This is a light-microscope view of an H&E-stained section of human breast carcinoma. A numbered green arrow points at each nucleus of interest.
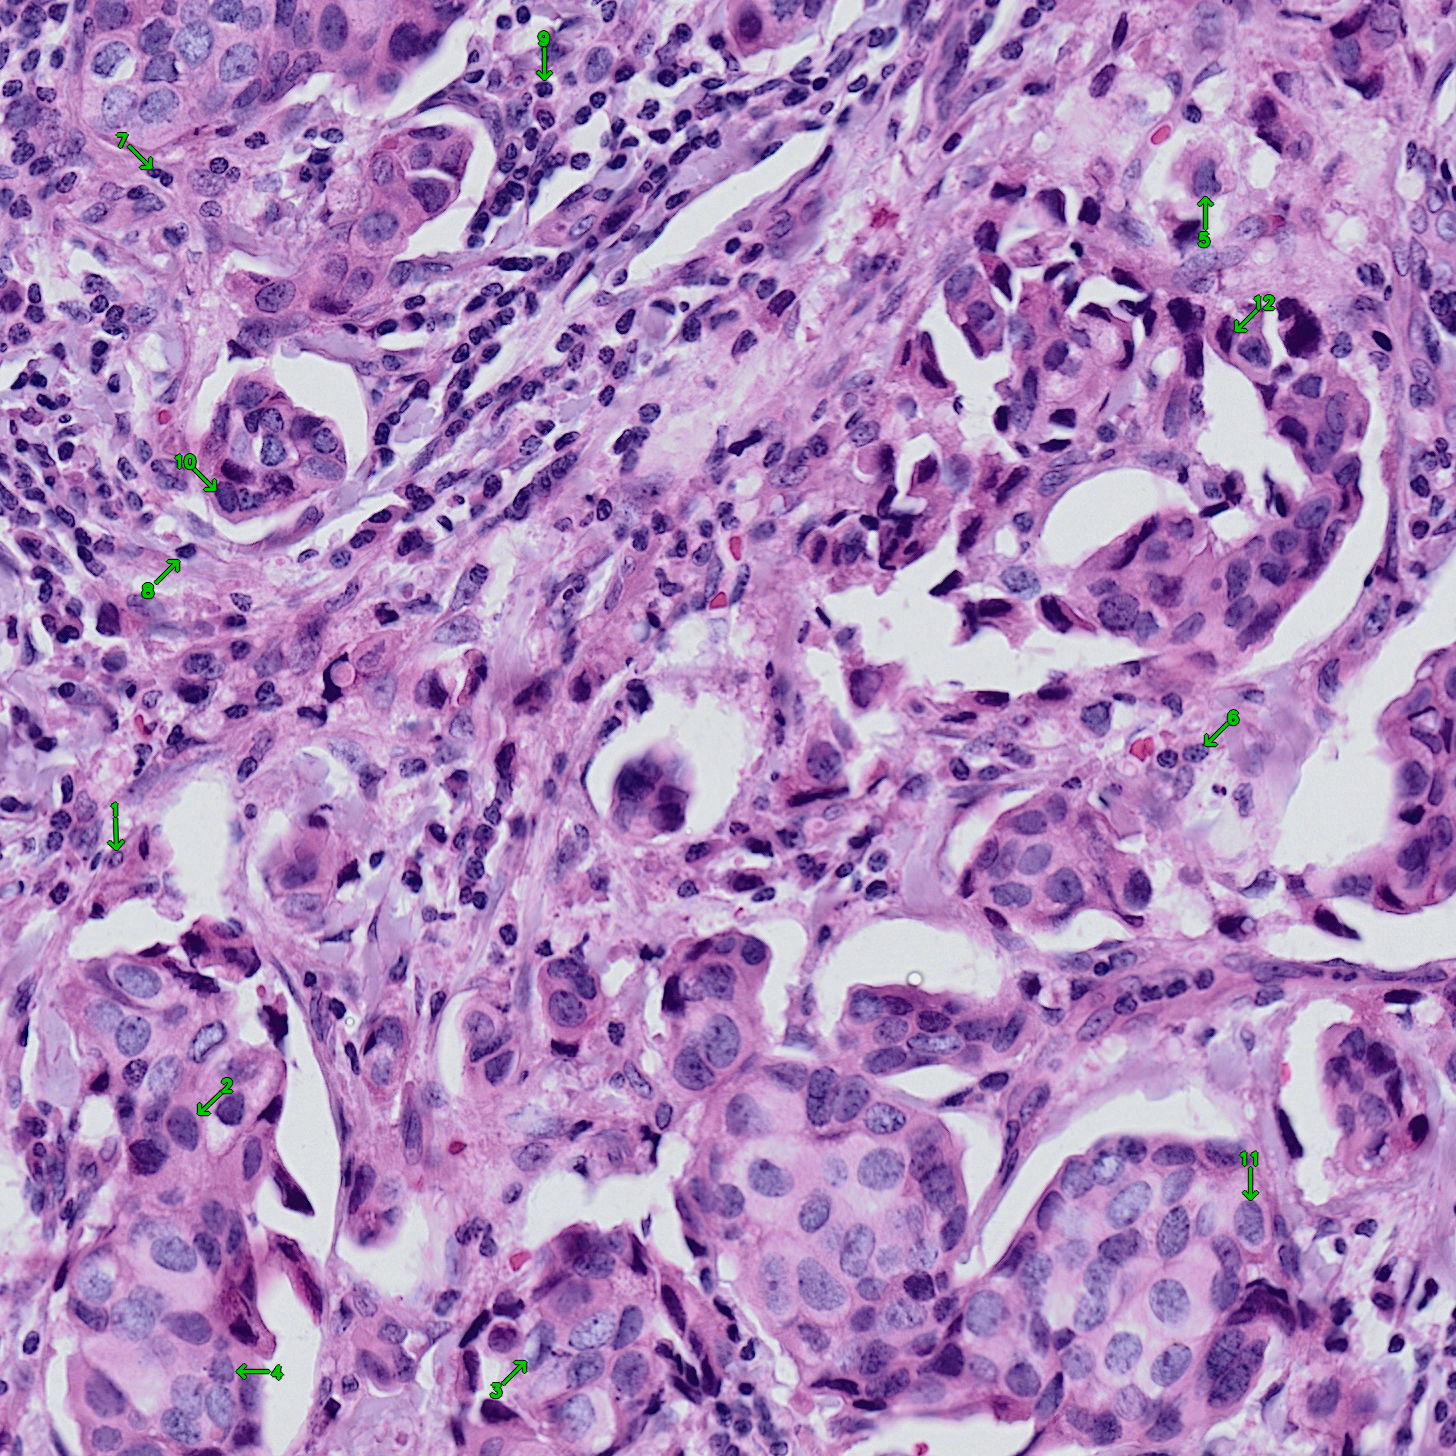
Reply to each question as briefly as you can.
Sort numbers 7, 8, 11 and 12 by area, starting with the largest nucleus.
11, 12, 7, 8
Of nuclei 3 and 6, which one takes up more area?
3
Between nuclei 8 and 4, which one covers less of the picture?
8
